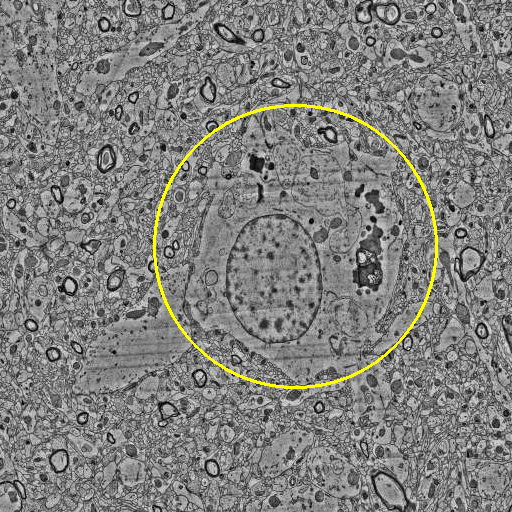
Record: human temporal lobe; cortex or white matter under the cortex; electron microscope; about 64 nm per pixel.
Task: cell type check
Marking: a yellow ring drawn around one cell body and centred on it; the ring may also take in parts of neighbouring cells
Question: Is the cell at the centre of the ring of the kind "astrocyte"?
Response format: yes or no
yes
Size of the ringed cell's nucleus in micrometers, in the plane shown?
In this plane, approximately 8 by 6 micrometers.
